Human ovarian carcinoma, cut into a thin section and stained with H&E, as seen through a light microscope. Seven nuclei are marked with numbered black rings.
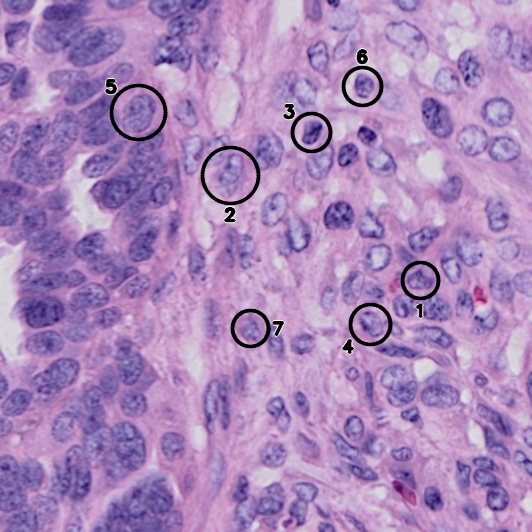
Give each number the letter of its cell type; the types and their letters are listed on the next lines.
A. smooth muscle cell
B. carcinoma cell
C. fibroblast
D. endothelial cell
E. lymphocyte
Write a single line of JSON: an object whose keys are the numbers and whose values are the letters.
{"1": "D", "2": "C", "3": "E", "4": "C", "5": "B", "6": "E", "7": "C"}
